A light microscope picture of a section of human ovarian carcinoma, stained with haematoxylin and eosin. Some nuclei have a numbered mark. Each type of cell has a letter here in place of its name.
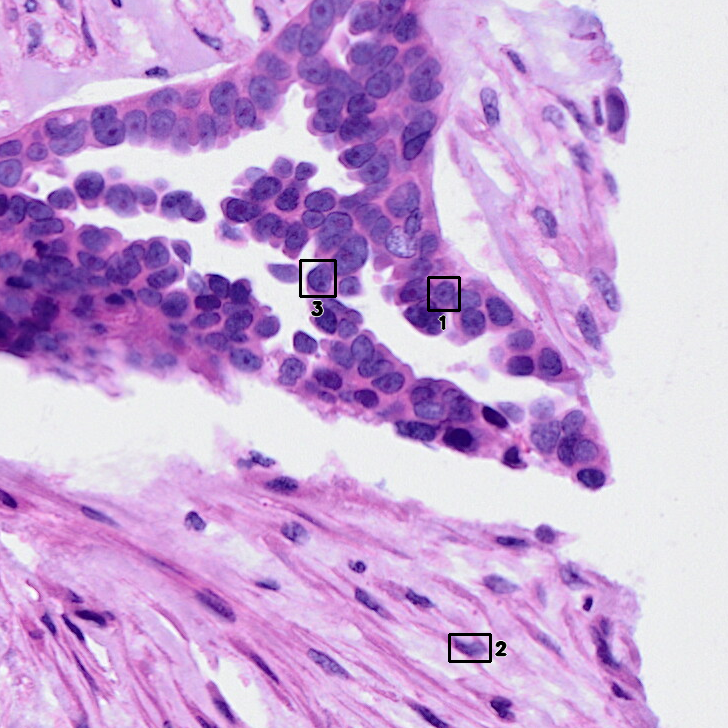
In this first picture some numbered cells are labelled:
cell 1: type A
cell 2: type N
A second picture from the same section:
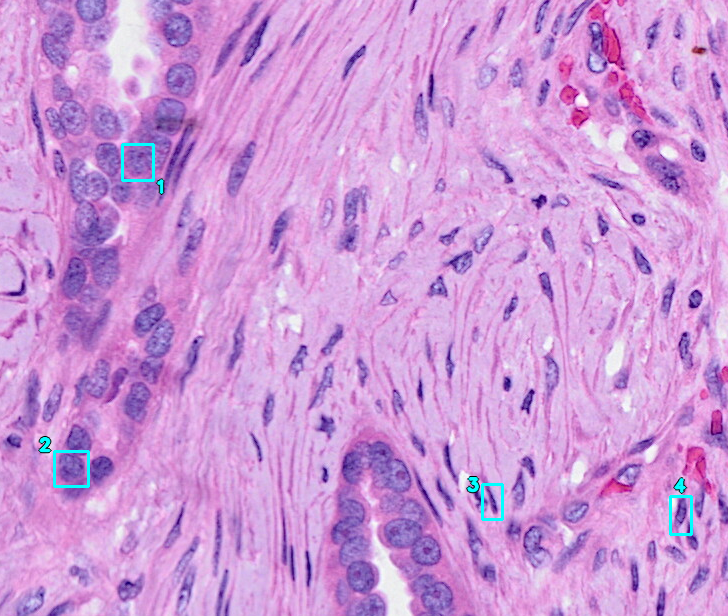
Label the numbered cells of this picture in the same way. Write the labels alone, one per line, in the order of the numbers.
type A
type A
type N
type N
